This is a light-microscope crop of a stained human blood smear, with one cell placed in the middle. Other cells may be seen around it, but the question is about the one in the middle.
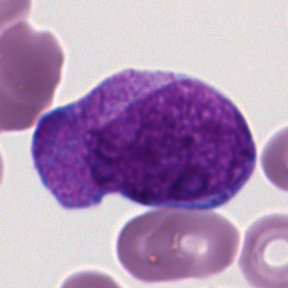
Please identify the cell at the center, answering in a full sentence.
The cell at the middle of the frame should be recorded as an atypical promyelocyte.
